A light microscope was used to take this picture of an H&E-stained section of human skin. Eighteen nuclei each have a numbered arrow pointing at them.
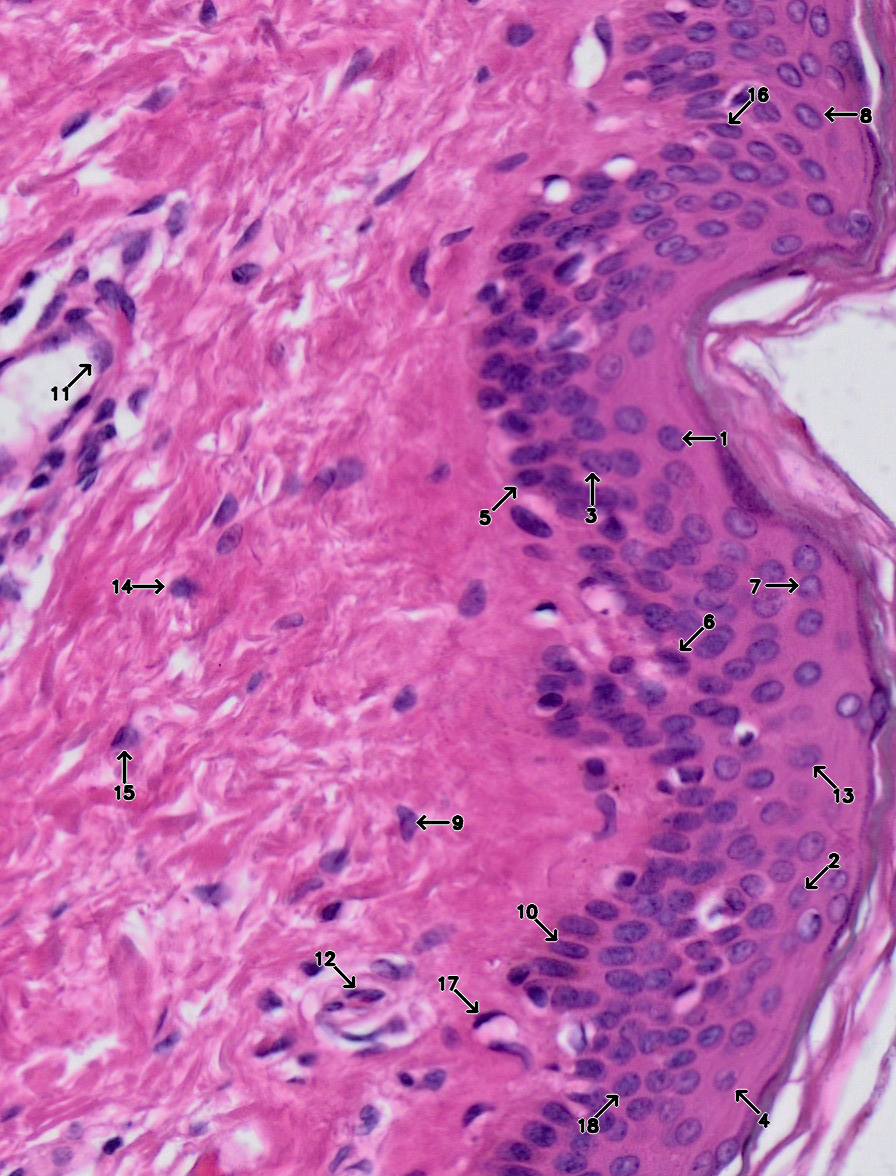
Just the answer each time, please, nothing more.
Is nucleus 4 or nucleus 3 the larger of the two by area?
3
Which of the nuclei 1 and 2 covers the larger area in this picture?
1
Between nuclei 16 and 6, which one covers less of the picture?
16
